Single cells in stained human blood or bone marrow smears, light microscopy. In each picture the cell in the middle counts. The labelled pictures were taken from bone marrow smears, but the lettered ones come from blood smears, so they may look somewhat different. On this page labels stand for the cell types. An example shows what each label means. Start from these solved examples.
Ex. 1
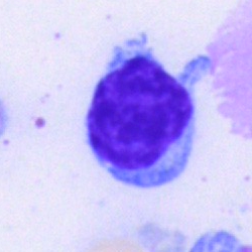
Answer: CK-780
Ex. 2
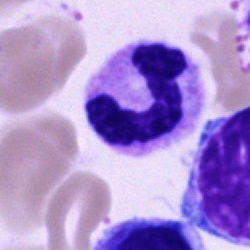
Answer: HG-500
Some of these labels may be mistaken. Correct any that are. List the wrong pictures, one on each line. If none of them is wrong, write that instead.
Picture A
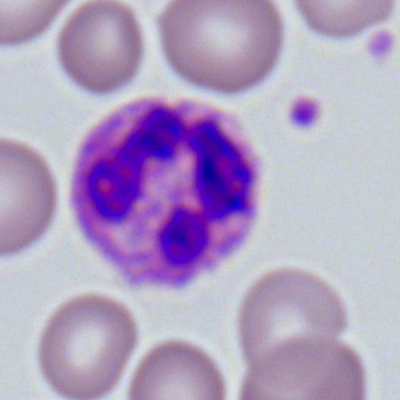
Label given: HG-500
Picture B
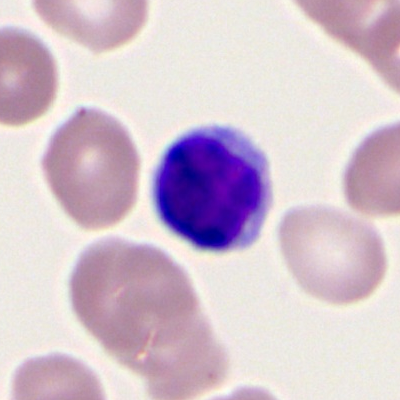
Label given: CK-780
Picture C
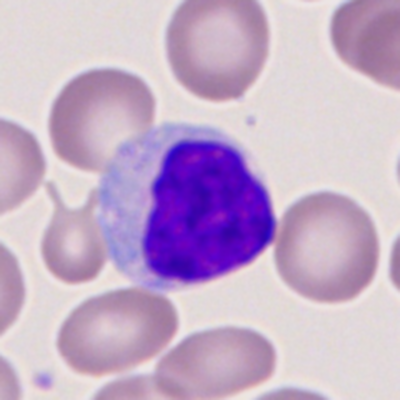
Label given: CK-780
Every label is right.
